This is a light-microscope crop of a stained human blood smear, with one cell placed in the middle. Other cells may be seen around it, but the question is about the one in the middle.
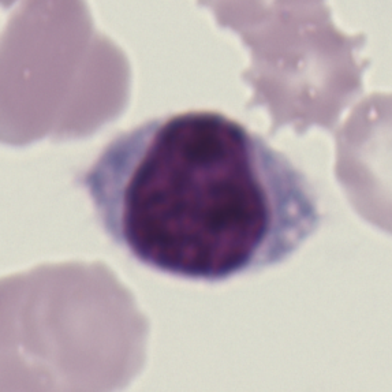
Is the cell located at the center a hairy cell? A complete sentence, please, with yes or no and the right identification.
Yes, the cell here in the middle is a hairy cell.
